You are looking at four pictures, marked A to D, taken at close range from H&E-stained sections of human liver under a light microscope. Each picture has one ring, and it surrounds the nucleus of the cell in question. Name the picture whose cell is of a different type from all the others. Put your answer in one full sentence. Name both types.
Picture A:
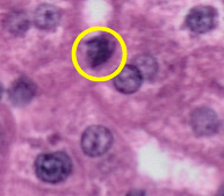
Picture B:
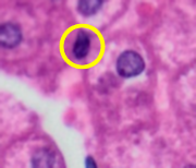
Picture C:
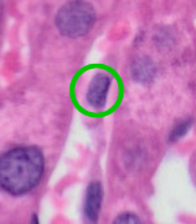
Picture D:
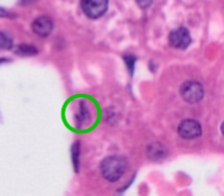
The different one is picture C; it shows a Kupffer cell, whereas all the others show “fibroblasts or stellate cells”.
